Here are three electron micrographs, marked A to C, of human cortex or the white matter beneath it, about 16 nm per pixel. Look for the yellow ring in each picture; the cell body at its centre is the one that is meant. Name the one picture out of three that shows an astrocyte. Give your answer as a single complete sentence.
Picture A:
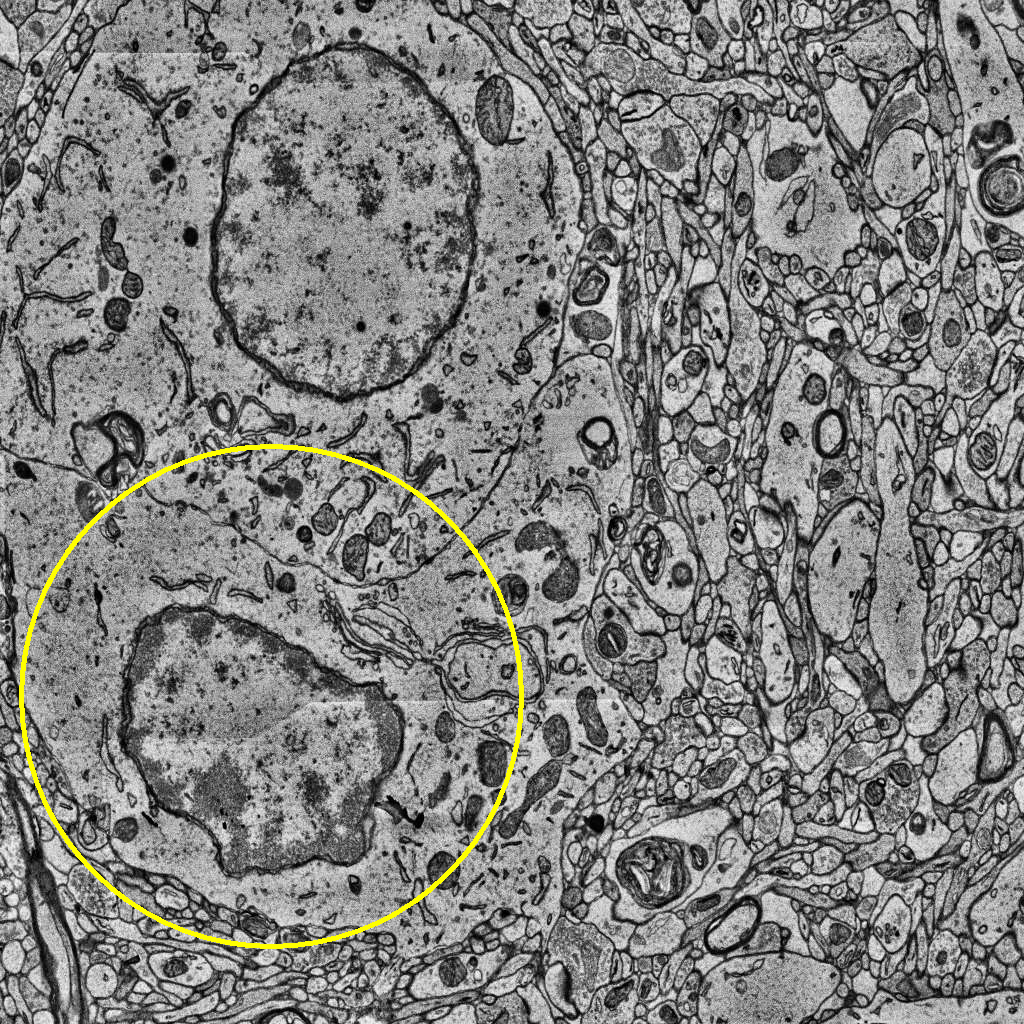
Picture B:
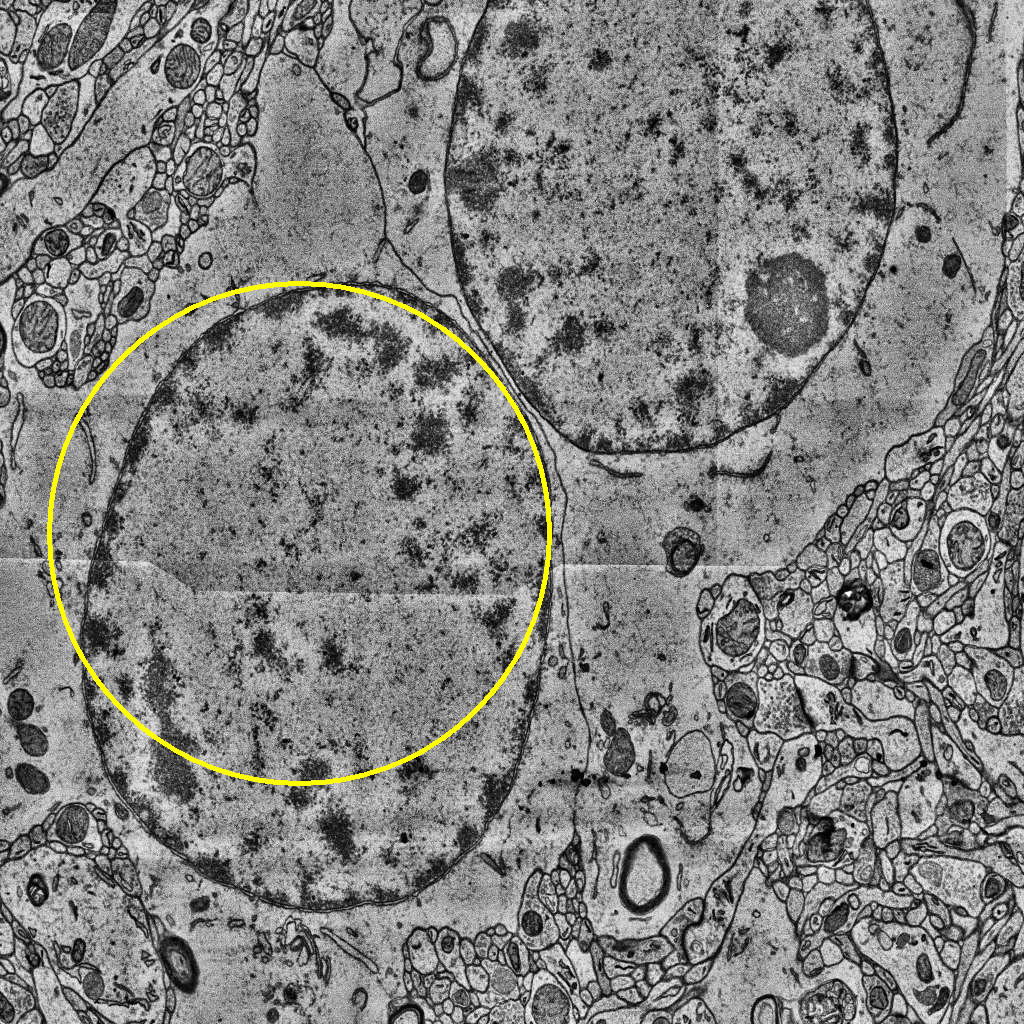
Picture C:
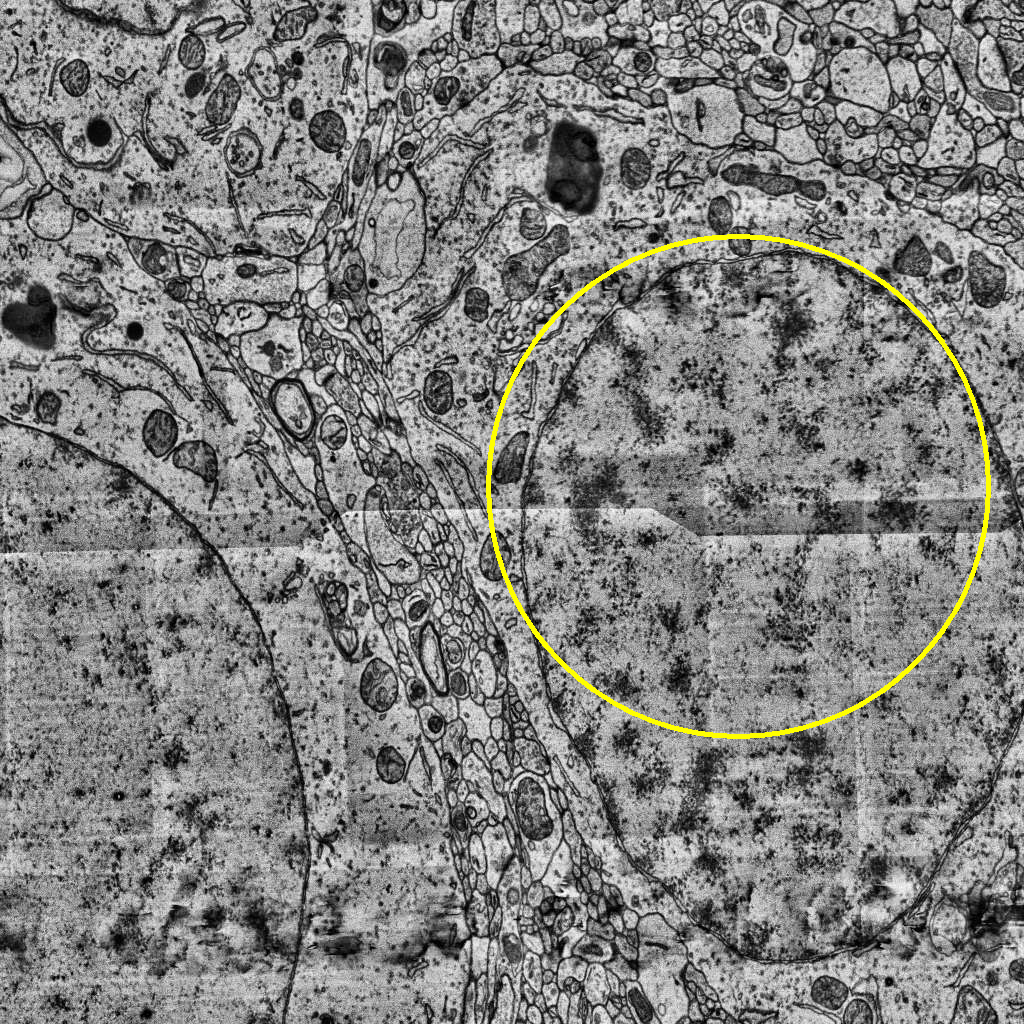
Picture B shows the astrocyte.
